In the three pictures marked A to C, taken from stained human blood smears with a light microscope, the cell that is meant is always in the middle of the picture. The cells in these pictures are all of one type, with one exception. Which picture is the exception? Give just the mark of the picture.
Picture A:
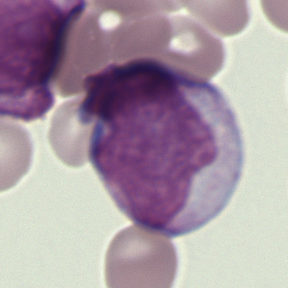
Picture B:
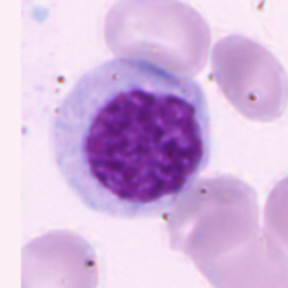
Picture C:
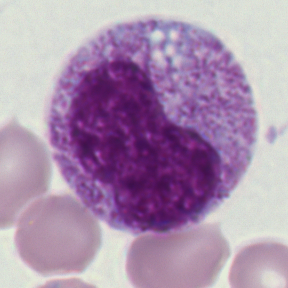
A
